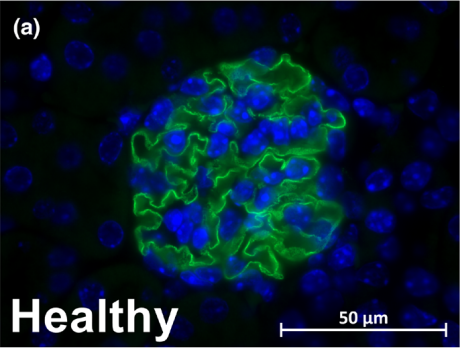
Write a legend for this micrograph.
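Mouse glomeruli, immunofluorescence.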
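Thin, wavy green lines run along the outlines of the convoluted capillary loops throughout the tuft, giving a folded, ribbon-like pattern. Blue nuclei are densely packed within the tuft, while the surrounding tissue shows scattered, larger round nuclei and no green lines.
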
